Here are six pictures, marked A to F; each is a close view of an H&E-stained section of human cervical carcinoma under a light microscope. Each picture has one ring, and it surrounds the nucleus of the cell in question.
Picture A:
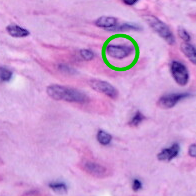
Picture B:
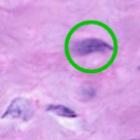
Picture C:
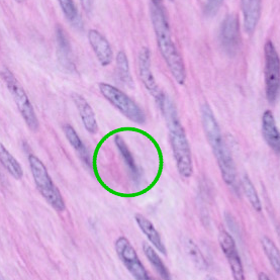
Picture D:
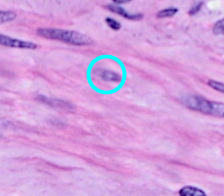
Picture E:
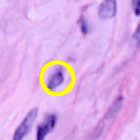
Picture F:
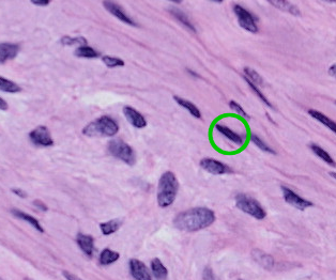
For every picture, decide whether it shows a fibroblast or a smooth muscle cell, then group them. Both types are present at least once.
A: smooth muscle cell
B: fibroblast
C: smooth muscle cell
D: smooth muscle cell
E: fibroblast
F: fibroblast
